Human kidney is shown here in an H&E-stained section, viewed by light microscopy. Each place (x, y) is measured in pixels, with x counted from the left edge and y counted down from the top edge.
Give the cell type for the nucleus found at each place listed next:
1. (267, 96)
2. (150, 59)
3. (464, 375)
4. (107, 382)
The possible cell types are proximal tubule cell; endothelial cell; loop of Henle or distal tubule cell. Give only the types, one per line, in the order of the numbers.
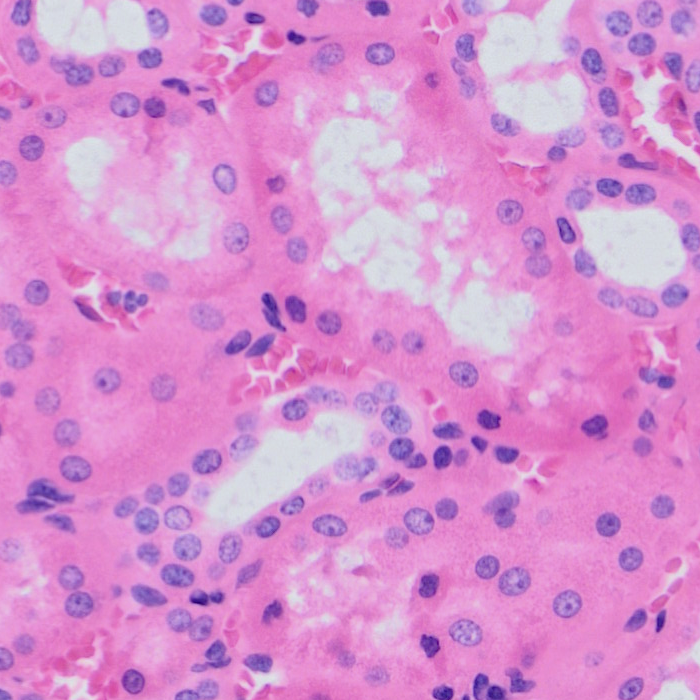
proximal tubule cell
loop of Henle or distal tubule cell
proximal tubule cell
proximal tubule cell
